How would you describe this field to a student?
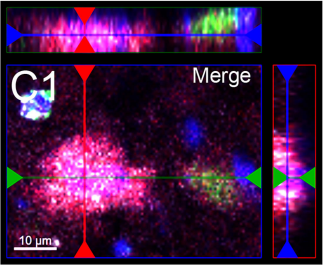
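A high-magnification confocal view with side projections centres on one large rounded cell whose body is densely filled with granular pink-white and red signal. Beside it lies a smaller cell with green signal, and a bright blue nucleus sits at the upper left corner. The side projections show the pink-white and red signal overlapping through the same depth of the cell.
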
